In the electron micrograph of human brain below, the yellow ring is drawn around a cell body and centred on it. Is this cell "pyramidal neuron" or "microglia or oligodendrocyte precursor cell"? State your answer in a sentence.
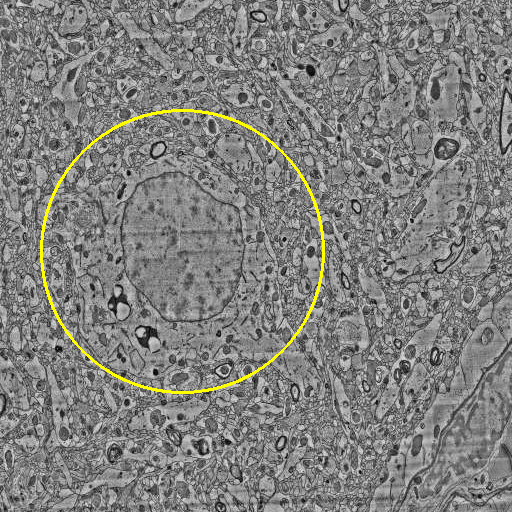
The cell in the middle of the ring is a pyramidal neuron.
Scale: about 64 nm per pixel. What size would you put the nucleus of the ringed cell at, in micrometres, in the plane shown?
The nucleus of the ringed cell is approximately 10 by 8 micrometres in this plane.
